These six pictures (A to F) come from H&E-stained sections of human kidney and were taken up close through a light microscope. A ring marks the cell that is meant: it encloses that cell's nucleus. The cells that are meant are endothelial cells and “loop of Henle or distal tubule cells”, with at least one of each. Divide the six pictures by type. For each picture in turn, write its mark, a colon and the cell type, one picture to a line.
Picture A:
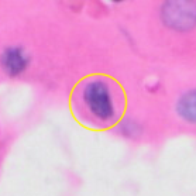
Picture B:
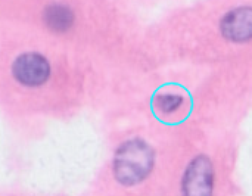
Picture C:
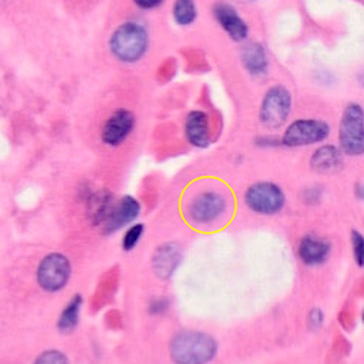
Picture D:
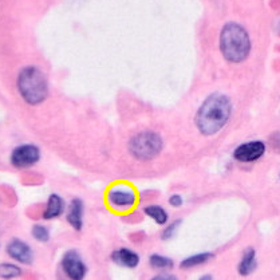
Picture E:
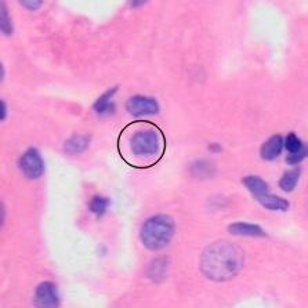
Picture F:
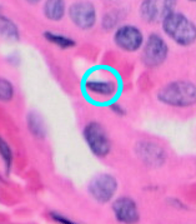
A: loop of Henle or distal tubule cell
B: endothelial cell
C: loop of Henle or distal tubule cell
D: endothelial cell
E: loop of Henle or distal tubule cell
F: endothelial cell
